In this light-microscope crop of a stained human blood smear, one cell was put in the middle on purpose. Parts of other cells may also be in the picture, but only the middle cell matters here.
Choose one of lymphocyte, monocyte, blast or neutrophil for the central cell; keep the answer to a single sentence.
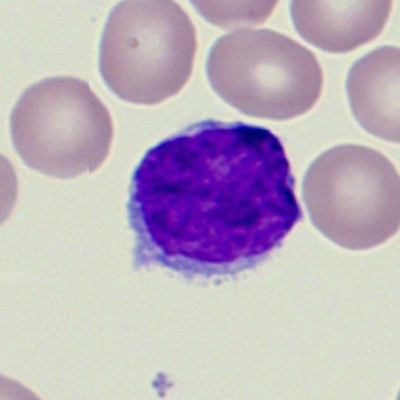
Centred in the crop is a lymphocyte.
